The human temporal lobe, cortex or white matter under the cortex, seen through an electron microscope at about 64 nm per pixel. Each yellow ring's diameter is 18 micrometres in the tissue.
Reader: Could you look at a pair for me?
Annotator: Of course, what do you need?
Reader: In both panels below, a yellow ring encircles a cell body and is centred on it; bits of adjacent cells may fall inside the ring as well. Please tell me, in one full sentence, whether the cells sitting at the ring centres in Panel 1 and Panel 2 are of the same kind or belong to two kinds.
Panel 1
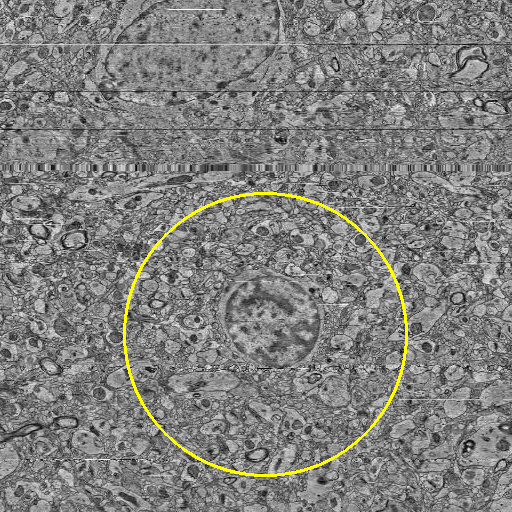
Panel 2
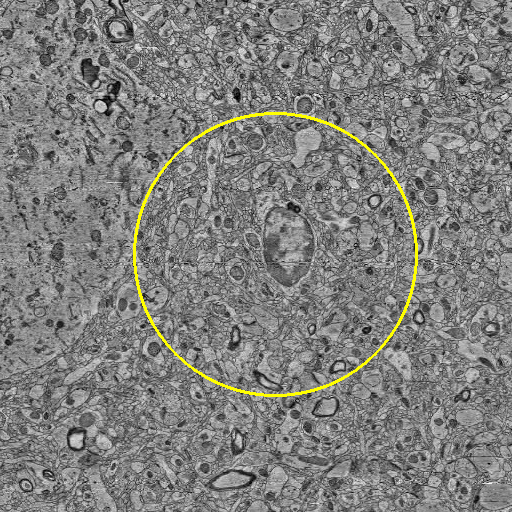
The cell at the ring's centre in Panel 1 and the one in Panel 2 belong to two kinds.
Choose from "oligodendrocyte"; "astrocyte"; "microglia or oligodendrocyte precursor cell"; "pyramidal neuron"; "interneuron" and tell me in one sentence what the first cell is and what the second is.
What the first ring is centred on is an oligodendrocyte; what the second ring is centred on is a microglial cell or oligodendrocyte precursor cell.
